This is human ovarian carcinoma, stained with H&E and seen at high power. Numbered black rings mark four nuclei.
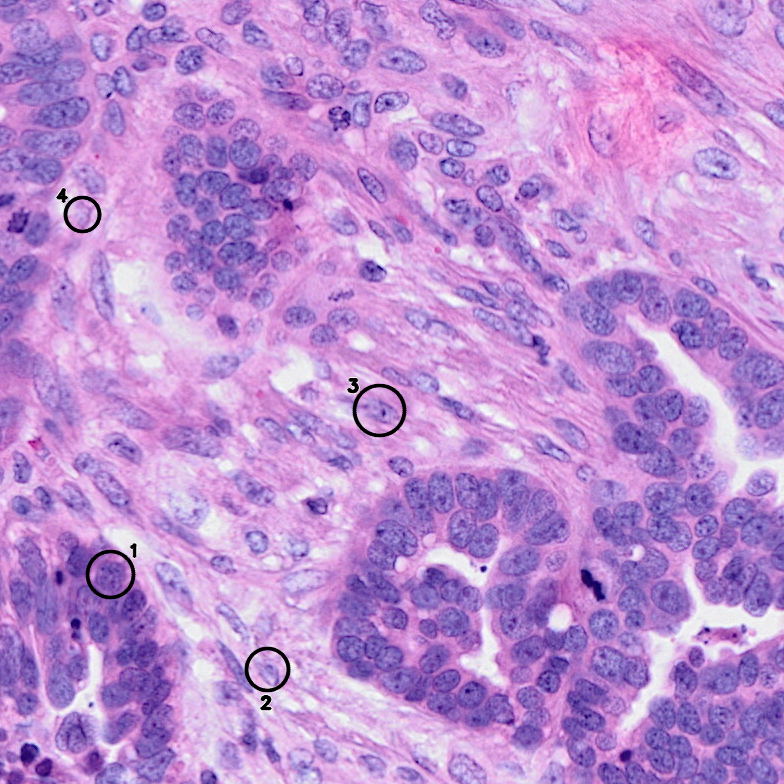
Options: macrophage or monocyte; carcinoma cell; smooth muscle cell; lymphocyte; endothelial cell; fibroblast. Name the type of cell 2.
fibroblast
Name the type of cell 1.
carcinoma cell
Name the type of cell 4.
fibroblast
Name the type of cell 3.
fibroblast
